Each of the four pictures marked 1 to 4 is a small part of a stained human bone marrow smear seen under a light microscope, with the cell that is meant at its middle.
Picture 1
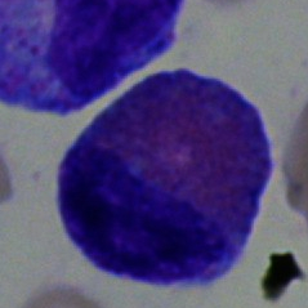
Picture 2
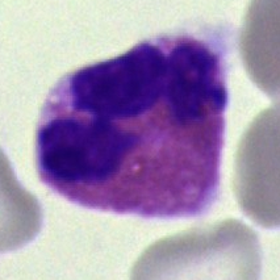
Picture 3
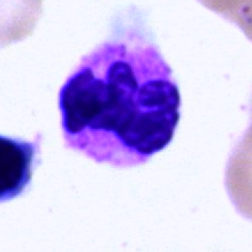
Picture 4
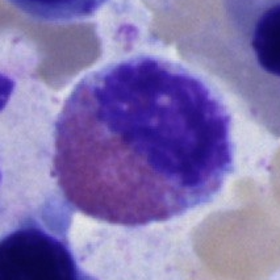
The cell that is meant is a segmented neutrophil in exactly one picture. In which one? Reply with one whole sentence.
Picture 3 shows the segmented neutrophil.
